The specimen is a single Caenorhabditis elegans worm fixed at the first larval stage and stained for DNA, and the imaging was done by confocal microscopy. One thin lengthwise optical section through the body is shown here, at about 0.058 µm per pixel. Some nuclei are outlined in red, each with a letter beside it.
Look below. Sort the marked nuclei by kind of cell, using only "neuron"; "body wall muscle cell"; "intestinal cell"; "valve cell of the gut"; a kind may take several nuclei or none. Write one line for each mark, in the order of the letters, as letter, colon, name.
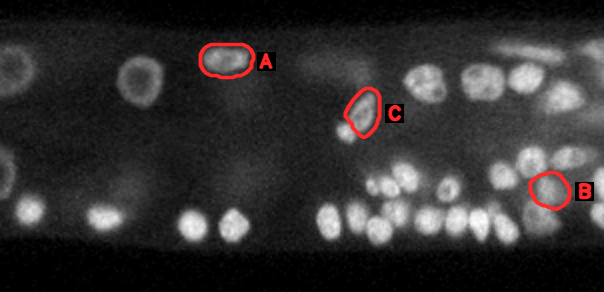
A: body wall muscle cell
B: neuron
C: valve cell of the gut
